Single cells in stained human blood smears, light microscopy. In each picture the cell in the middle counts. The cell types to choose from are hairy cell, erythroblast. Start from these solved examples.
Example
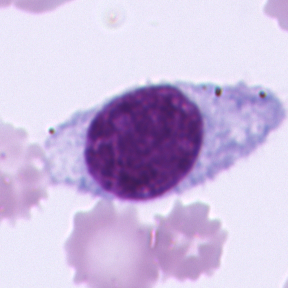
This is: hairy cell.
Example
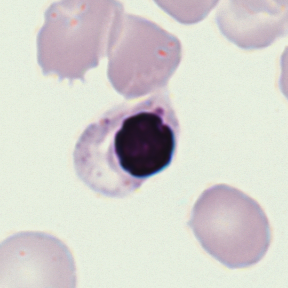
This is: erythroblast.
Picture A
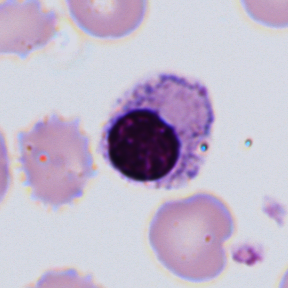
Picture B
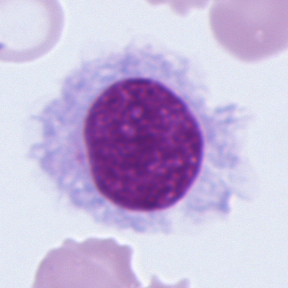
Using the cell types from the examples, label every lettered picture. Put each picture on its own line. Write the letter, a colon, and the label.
A: erythroblast.
B: hairy cell.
